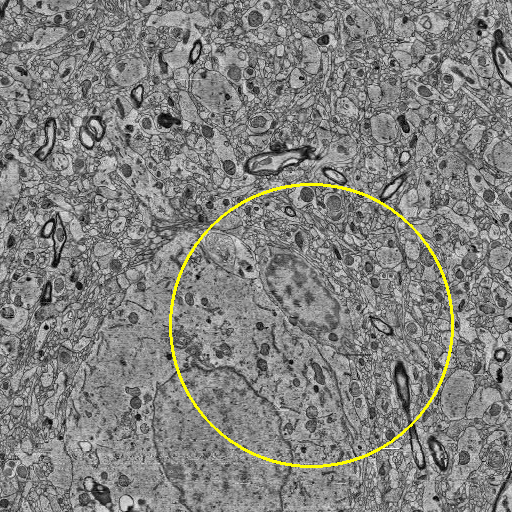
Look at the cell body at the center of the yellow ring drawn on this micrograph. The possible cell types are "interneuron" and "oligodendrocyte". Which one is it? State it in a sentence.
The cell in the middle of the ring is an oligodendrocyte.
